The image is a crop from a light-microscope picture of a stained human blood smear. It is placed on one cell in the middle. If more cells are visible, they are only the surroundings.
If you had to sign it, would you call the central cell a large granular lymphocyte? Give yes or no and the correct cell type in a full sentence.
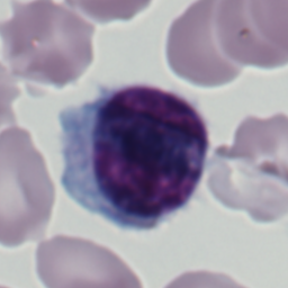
No, the label for the central cell is a hairy cell, not a large granular lymphocyte.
